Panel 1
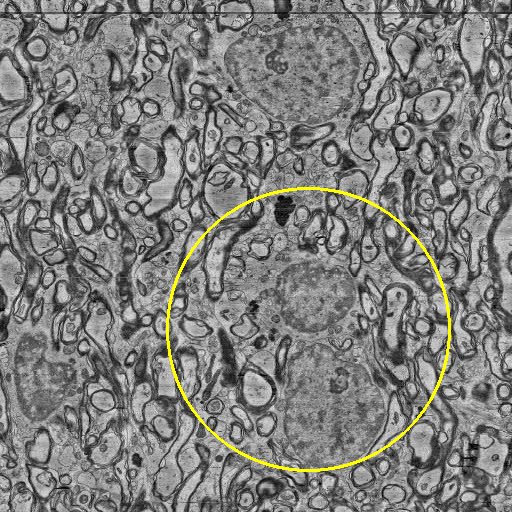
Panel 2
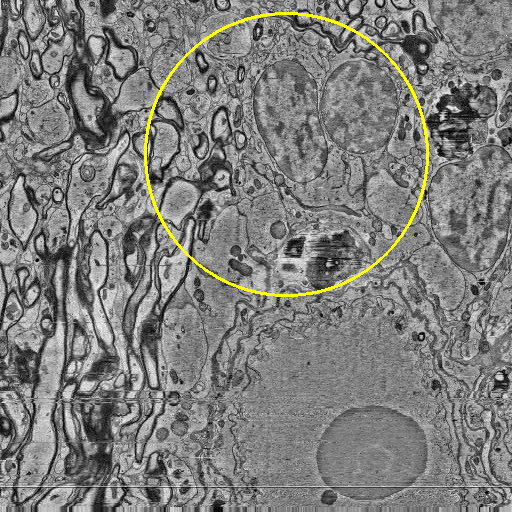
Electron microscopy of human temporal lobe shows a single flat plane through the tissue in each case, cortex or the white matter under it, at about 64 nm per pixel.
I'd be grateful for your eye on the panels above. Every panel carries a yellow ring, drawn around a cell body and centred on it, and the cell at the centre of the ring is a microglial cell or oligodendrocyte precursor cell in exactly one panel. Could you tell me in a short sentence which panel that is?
Panel 2 is the one with it at the centre of the ring.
